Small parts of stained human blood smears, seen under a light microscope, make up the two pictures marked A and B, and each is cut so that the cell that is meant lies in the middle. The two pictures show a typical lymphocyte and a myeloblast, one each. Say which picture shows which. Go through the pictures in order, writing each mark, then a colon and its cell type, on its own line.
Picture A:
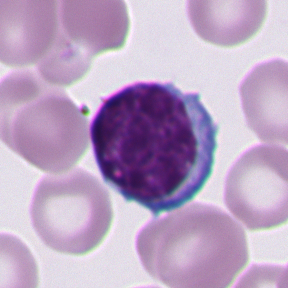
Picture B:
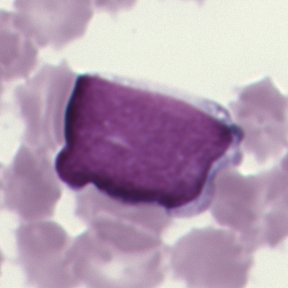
A: typical lymphocyte
B: myeloblast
